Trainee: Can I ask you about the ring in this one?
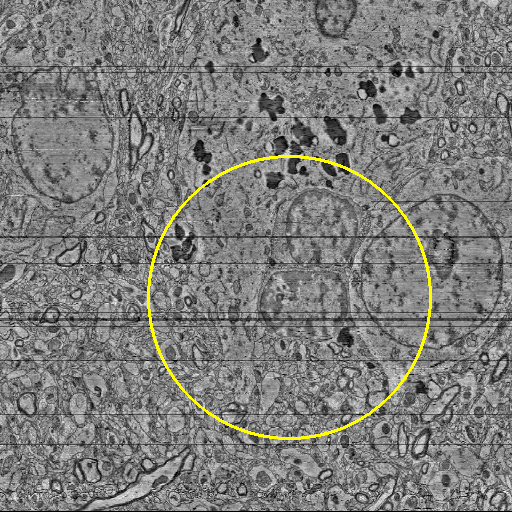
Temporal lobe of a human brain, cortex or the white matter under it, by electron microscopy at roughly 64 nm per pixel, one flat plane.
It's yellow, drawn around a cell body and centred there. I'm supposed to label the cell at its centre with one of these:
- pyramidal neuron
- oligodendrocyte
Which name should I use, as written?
oligodendrocyte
